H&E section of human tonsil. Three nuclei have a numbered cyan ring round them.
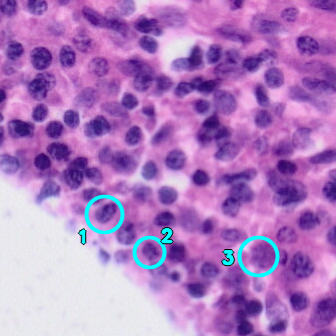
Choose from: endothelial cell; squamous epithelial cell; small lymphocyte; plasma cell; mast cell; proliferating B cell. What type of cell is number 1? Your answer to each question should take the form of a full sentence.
The one numbered 1 among the marked cells is a plasma cell.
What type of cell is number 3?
The one labeled 3 is a squamous epithelial cell, to put it simply.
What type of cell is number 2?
The cell numbered 2 represents a plasma cell.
